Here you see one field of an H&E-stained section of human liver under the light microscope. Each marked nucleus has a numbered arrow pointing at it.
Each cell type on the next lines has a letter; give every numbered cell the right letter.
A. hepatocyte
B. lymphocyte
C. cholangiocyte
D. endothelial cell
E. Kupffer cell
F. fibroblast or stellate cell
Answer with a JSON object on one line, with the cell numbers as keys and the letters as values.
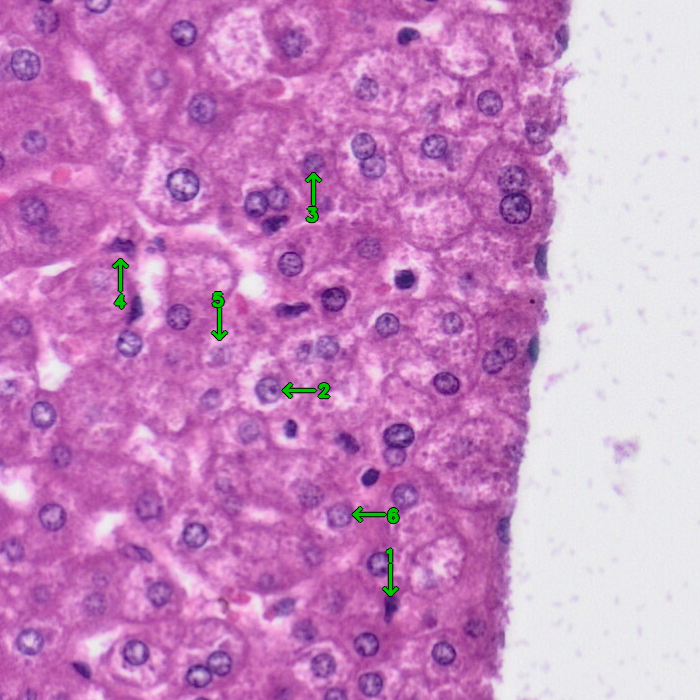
{"1": "F", "2": "A", "3": "A", "4": "E", "5": "A", "6": "A"}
